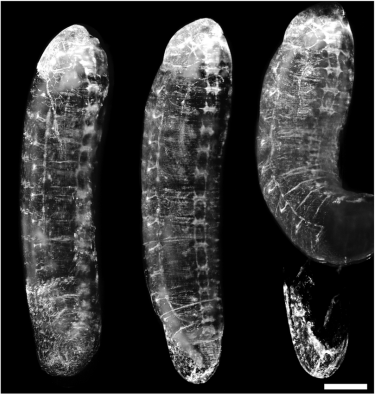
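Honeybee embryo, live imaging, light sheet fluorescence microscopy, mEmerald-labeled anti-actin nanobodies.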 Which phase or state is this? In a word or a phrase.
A: hatching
